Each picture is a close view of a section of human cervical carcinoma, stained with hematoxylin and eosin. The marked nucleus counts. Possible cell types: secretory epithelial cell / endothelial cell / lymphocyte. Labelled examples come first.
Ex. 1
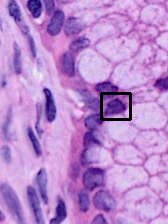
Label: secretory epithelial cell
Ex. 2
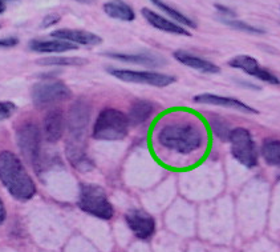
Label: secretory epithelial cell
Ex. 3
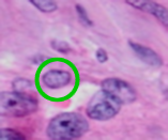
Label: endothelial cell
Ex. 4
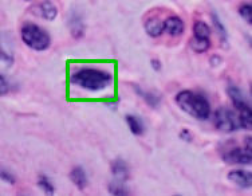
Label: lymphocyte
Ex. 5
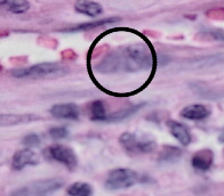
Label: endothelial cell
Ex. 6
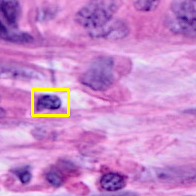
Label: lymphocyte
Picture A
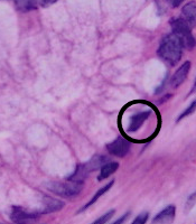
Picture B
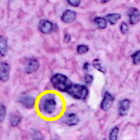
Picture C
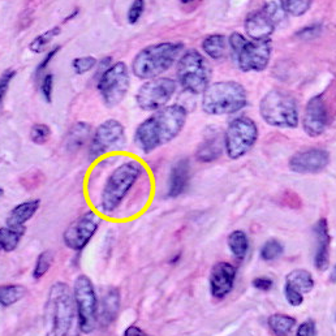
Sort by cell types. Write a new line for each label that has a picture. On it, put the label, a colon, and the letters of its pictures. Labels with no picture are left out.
secretory epithelial cell: A
endothelial cell: C
lymphocyte: B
